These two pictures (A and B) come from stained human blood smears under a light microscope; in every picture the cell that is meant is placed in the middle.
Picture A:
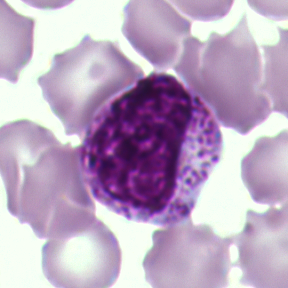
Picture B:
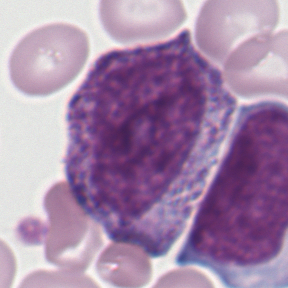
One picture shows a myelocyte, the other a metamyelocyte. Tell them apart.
A: metamyelocyte
B: myelocyte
